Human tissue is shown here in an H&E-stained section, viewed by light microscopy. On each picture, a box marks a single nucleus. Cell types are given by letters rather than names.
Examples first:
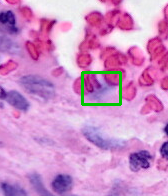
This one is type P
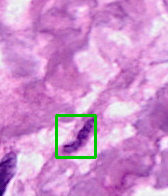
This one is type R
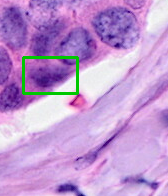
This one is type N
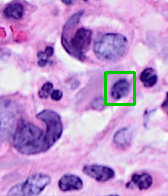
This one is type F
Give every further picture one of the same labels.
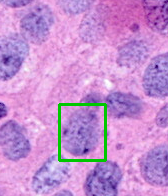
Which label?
type N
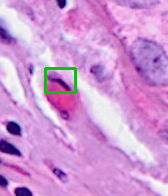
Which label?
type P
